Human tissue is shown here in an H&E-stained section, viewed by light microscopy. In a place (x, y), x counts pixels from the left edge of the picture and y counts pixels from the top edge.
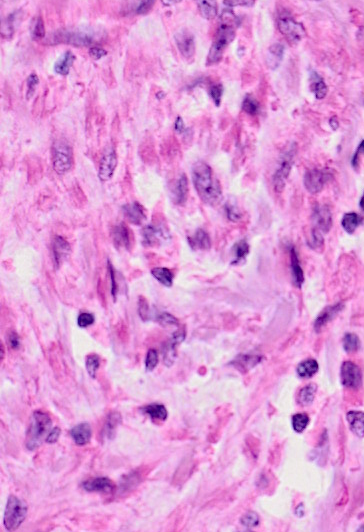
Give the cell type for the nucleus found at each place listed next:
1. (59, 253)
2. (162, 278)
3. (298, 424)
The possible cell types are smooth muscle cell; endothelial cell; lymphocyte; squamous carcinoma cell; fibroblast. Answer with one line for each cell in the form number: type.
1: fibroblast
2: lymphocyte
3: lymphocyte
